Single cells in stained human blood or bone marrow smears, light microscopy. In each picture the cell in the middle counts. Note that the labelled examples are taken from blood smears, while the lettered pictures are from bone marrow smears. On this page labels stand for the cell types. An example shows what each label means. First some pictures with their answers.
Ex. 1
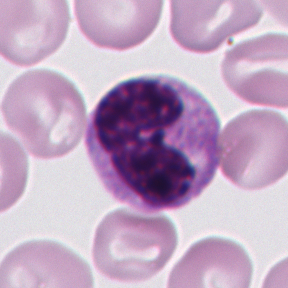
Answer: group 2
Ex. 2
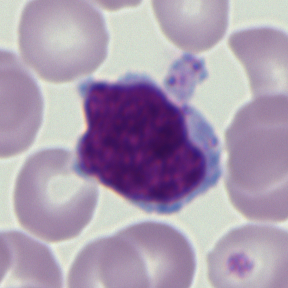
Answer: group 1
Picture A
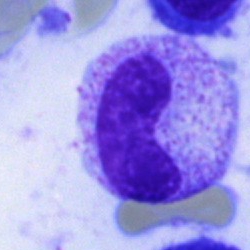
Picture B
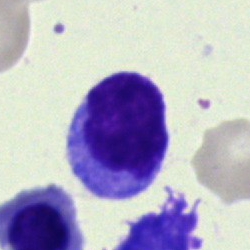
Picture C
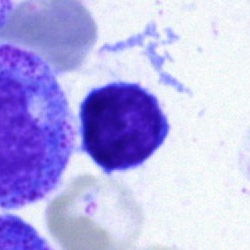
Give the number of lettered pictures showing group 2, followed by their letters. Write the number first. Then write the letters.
1: A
